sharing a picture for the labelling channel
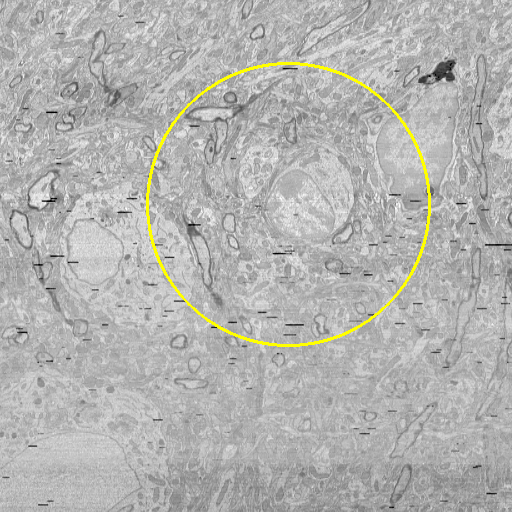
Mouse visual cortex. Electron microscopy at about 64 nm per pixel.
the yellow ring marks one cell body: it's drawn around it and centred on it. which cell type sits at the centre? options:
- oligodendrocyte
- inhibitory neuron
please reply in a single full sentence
In the picture, the cell at the ring's centre is an oligodendrocyte, going by the list.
